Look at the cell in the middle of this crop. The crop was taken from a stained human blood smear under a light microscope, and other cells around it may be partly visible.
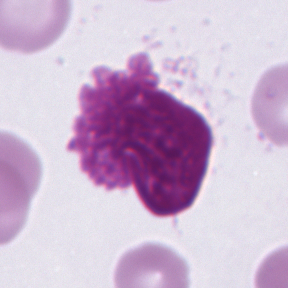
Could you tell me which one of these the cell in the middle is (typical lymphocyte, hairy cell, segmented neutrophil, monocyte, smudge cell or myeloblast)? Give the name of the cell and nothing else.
smudge cell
